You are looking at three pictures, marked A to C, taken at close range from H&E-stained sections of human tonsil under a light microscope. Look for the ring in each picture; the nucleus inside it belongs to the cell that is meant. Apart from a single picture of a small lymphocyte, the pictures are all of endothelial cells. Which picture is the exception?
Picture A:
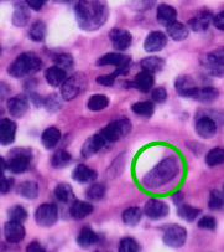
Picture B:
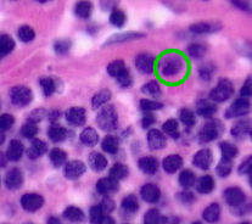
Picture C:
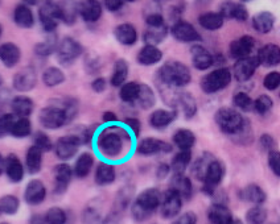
C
